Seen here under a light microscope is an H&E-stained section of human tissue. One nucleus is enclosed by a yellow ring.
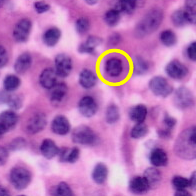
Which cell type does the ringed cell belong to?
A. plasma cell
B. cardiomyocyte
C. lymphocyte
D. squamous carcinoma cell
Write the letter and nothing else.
A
